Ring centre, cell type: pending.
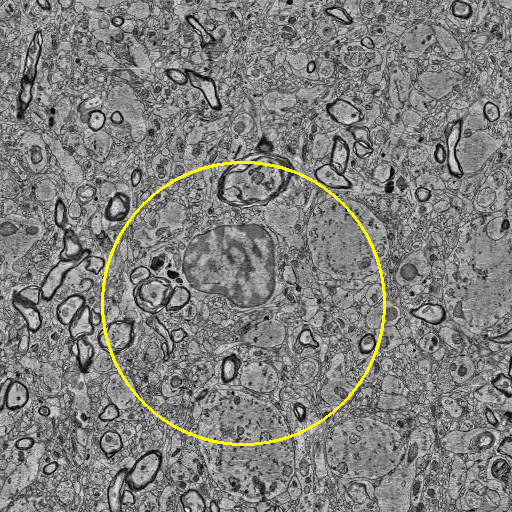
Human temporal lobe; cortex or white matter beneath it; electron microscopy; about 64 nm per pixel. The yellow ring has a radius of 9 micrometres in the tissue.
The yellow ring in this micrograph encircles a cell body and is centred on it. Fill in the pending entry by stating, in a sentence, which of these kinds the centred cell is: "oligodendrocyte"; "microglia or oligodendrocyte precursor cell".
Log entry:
The centred cell is recorded as a microglial cell or oligodendrocyte precursor cell.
